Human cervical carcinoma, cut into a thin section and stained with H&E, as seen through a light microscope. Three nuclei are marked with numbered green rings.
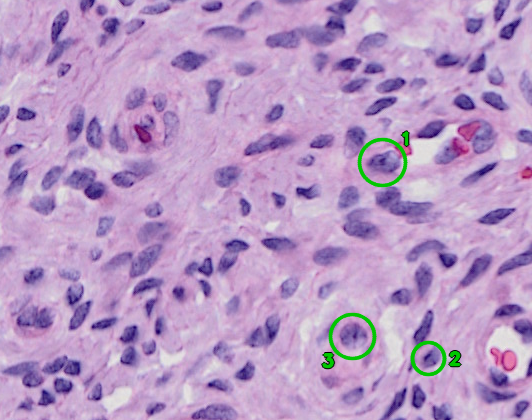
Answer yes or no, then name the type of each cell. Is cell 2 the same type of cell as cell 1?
No, cell 2 is a fibroblast and cell 1 is an endothelial cell.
